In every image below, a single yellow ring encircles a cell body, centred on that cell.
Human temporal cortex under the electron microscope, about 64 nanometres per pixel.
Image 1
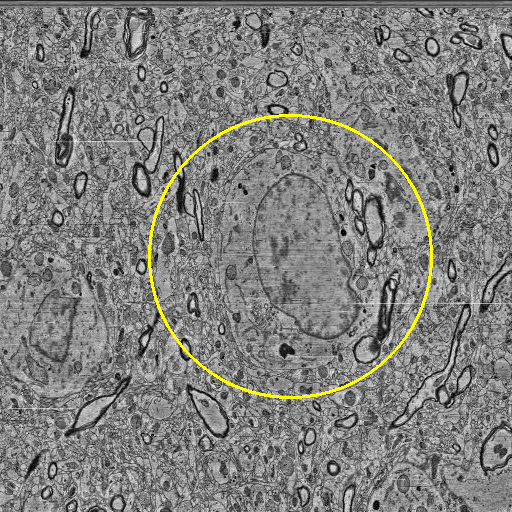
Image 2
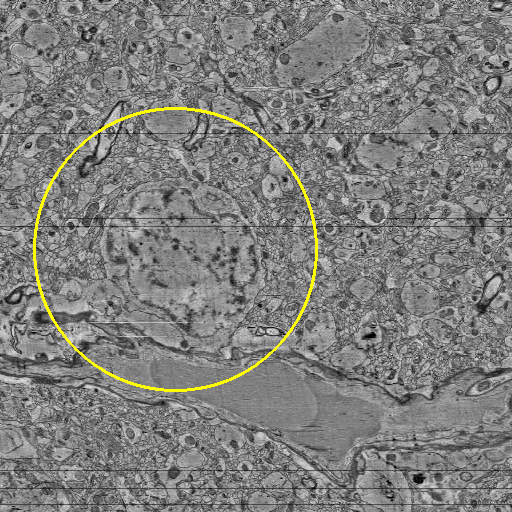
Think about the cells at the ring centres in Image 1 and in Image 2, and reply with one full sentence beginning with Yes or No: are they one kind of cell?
No, the cells centred in the rings of Image 1 and Image 2 are two kinds of cell.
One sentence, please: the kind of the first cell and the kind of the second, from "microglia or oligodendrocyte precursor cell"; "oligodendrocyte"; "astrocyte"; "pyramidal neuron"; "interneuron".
The ring in the first picture surrounds a pyramidal neuron, and the ring in the second surrounds an interneuron.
